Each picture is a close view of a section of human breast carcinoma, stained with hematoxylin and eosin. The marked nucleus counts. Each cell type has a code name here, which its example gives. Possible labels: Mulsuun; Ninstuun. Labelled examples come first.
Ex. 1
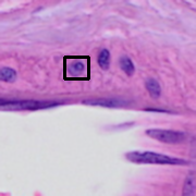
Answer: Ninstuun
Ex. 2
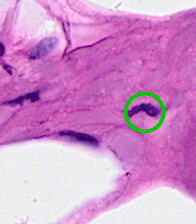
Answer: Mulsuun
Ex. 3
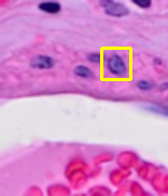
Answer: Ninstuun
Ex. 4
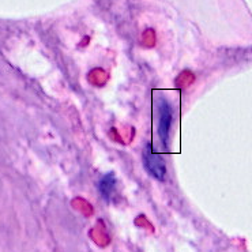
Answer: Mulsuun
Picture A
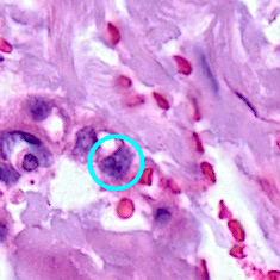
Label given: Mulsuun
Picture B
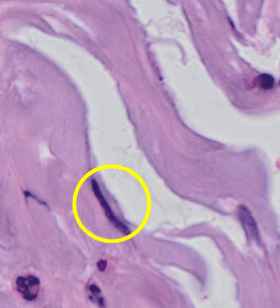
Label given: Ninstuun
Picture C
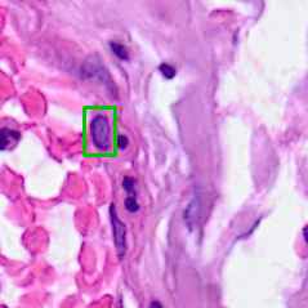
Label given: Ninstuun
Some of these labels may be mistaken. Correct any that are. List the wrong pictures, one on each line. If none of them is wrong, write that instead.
A: not Mulsuun but Ninstuun
B: not Ninstuun but Mulsuun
